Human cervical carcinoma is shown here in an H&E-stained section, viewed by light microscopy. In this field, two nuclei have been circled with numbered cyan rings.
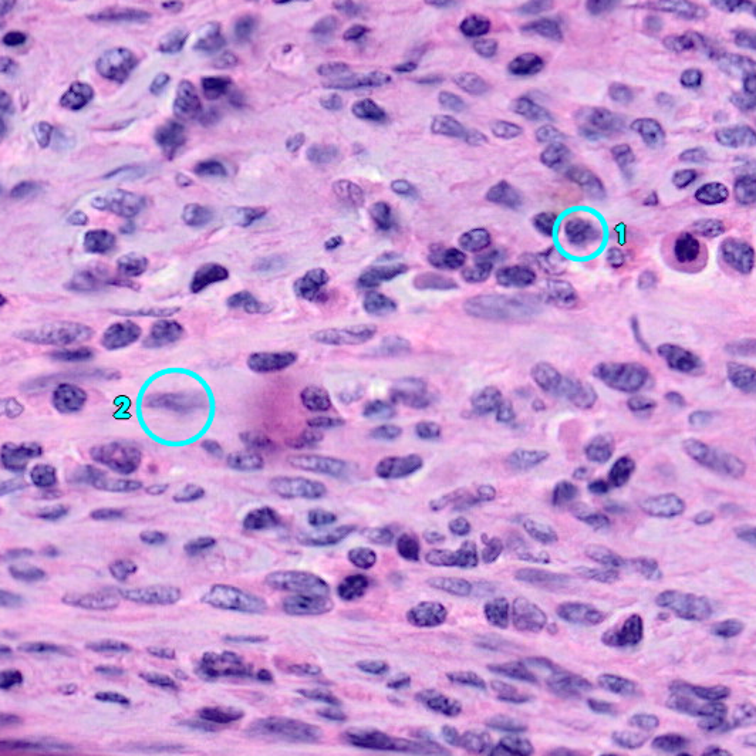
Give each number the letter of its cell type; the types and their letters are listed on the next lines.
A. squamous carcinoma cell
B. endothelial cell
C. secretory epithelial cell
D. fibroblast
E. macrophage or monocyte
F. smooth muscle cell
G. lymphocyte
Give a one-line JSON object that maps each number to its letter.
{"1": "G", "2": "D"}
